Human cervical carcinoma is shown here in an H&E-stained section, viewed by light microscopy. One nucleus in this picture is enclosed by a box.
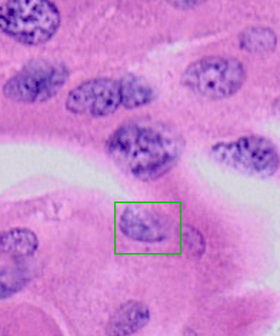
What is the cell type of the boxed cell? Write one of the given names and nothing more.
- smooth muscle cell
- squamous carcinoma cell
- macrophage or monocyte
squamous carcinoma cell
